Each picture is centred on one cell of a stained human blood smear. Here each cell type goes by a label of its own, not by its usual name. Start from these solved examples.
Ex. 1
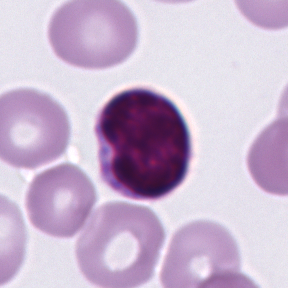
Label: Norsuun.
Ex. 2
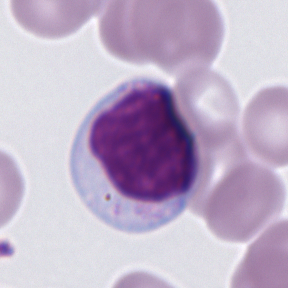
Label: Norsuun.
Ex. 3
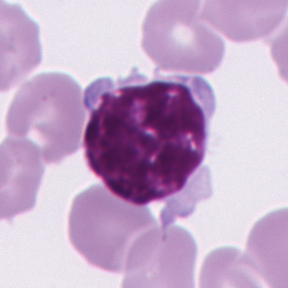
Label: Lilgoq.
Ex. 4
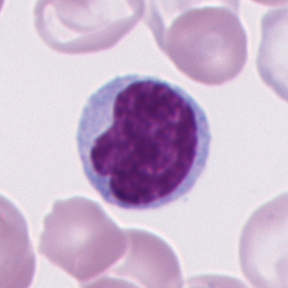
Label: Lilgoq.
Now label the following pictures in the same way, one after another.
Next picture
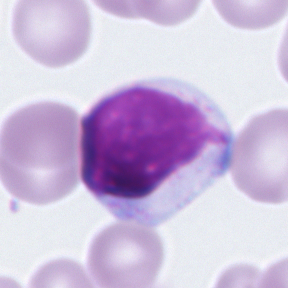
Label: Norsuun.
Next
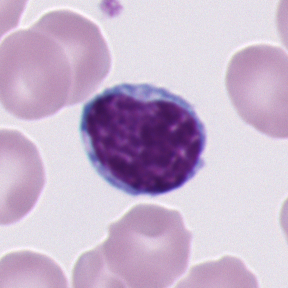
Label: Lilgoq.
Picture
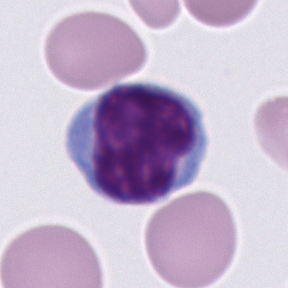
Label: Lilgoq.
